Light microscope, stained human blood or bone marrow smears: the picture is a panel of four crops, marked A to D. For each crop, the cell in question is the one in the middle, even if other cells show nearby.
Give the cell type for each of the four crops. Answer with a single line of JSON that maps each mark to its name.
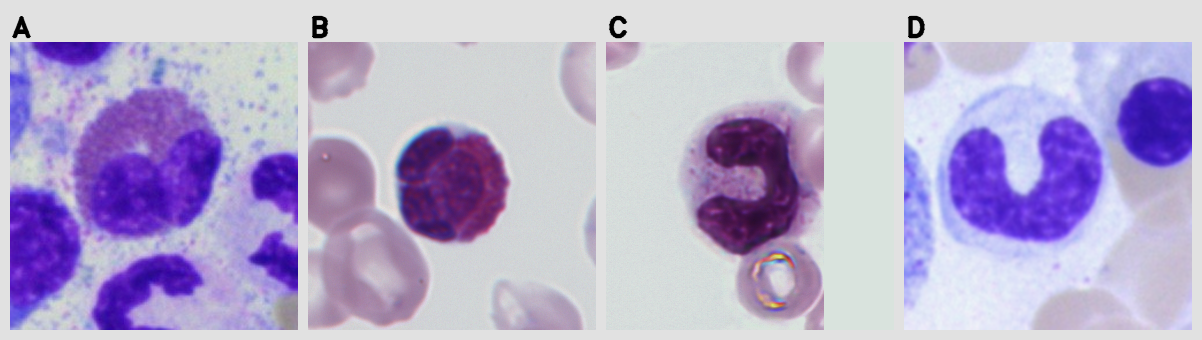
{"A": "eosinophil", "B": "eosinophil", "C": "band neutrophil", "D": "band neutrophil"}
